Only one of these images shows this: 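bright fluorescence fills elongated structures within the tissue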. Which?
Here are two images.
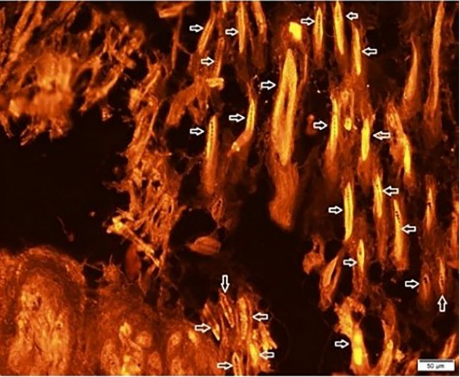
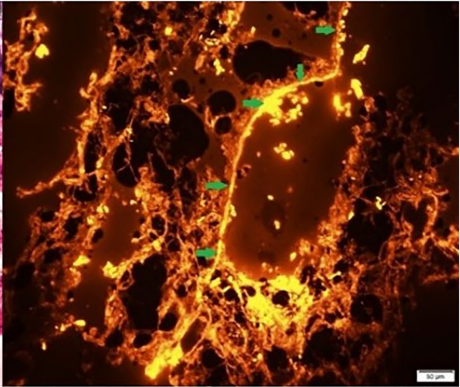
The first image.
